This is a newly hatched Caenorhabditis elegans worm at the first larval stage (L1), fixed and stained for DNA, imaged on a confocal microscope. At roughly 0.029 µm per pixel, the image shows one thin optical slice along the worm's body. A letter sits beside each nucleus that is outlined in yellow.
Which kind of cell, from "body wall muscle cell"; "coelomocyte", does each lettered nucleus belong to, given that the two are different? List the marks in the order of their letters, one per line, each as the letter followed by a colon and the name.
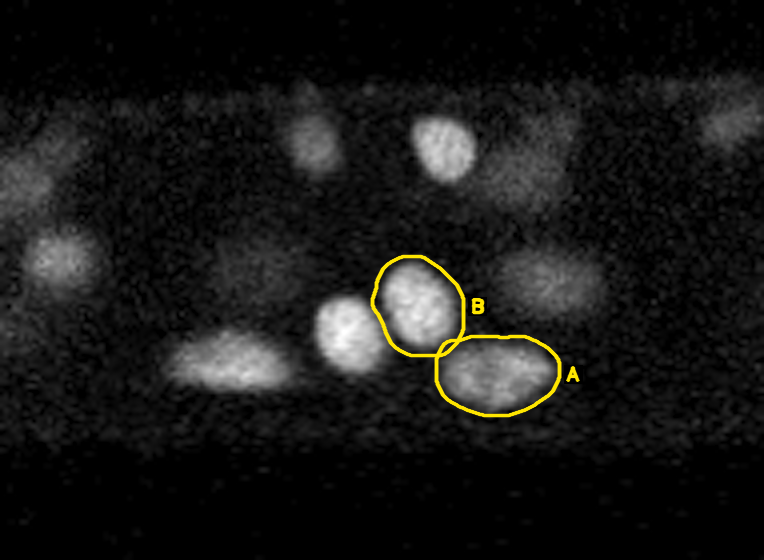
A: body wall muscle cell
B: coelomocyte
